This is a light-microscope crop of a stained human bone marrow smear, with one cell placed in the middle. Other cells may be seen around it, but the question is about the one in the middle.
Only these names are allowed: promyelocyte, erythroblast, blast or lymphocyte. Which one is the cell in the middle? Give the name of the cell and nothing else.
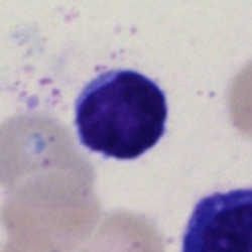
lymphocyte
